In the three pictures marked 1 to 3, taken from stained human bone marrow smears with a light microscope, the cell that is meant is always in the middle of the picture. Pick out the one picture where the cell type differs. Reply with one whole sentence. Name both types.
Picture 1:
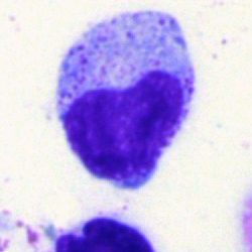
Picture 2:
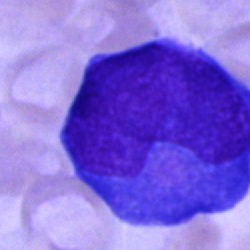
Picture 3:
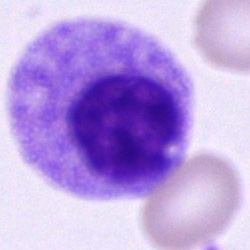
All pictures except 2 show myelocytes; picture 2 shows a blast.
